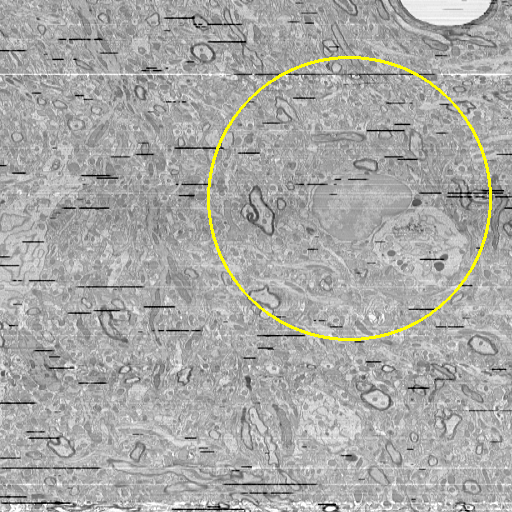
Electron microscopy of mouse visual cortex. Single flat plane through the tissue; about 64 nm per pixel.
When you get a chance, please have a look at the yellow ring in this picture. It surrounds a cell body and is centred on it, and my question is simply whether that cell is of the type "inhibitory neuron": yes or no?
No, the cell is of another type.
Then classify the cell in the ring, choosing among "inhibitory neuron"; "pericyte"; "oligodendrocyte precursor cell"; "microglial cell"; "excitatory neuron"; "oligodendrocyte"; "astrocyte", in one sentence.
The cell at the middle of the ring is a microglial cell.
